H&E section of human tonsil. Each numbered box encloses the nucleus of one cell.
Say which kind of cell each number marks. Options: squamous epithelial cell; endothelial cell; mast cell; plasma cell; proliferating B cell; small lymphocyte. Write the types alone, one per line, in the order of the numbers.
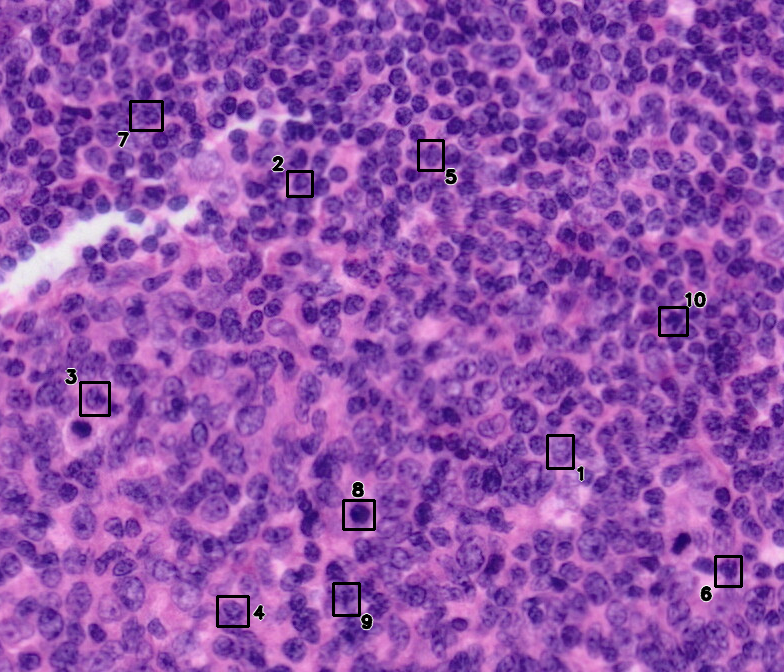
proliferating B cell
small lymphocyte
proliferating B cell
proliferating B cell
small lymphocyte
proliferating B cell
small lymphocyte
proliferating B cell
proliferating B cell
small lymphocyte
